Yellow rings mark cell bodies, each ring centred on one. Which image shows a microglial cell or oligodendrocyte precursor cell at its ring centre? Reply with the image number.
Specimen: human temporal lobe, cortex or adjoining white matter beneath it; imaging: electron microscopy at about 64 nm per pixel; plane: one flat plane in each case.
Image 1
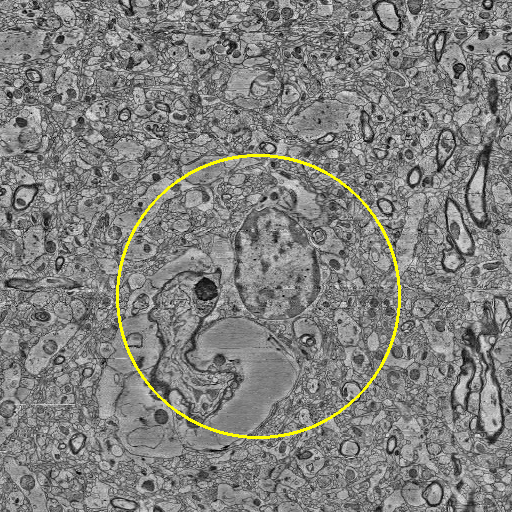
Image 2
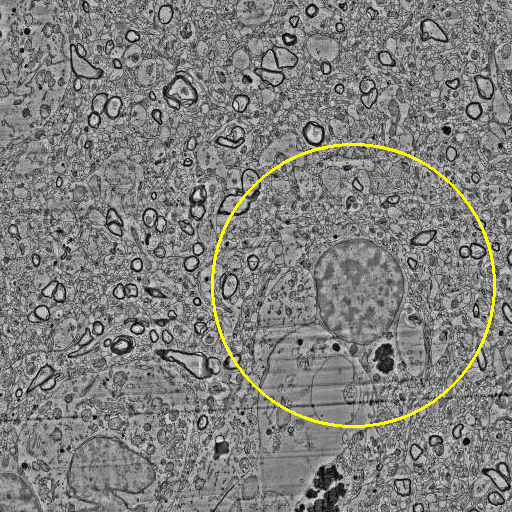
1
